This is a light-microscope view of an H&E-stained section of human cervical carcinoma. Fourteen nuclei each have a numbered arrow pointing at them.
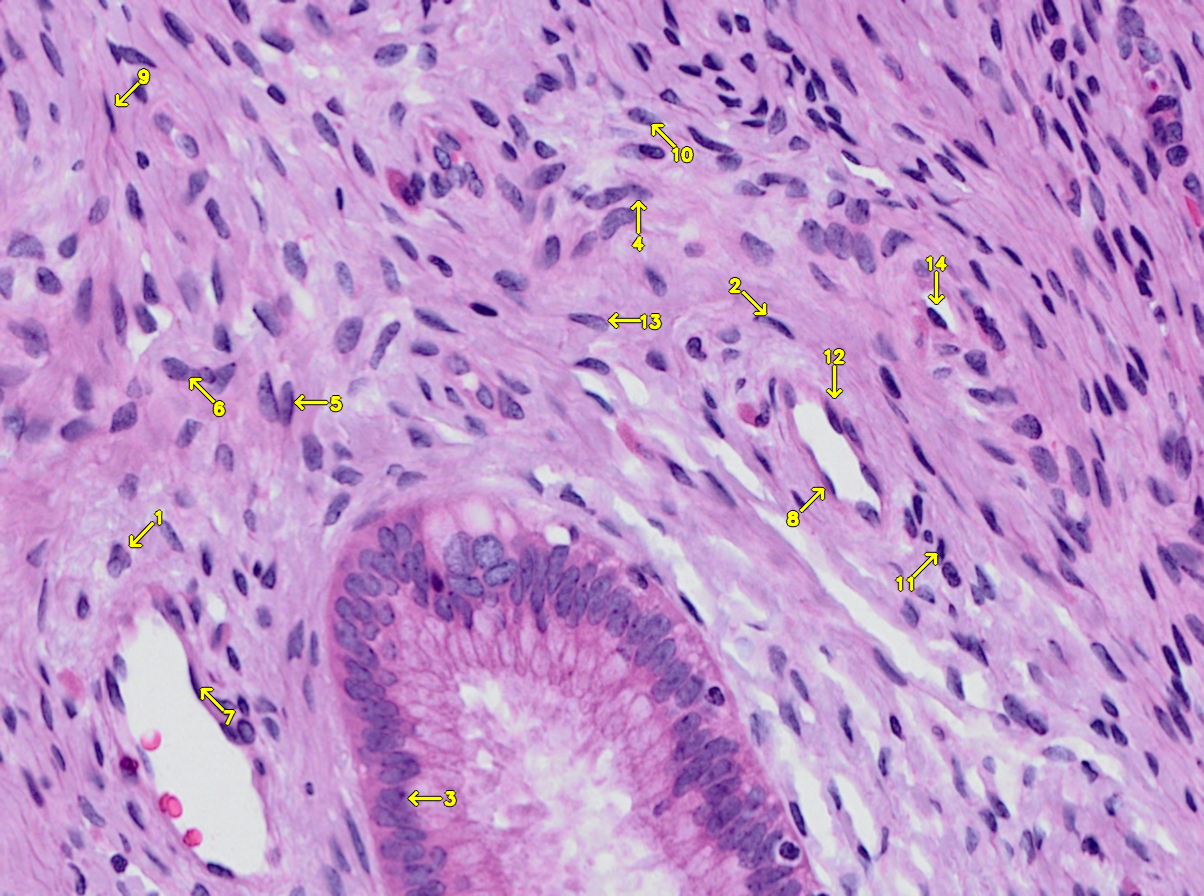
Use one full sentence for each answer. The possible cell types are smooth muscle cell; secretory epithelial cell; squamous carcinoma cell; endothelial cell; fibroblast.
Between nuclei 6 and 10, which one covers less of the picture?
It is nucleus 10; nucleus 6 has about 1.5 times its area.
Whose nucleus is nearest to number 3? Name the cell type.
It is a secretory epithelial cell whose nucleus is nearest to number 3.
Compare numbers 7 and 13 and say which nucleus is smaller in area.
The smaller nucleus is 7, and 13 covers roughly 2 times its area.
